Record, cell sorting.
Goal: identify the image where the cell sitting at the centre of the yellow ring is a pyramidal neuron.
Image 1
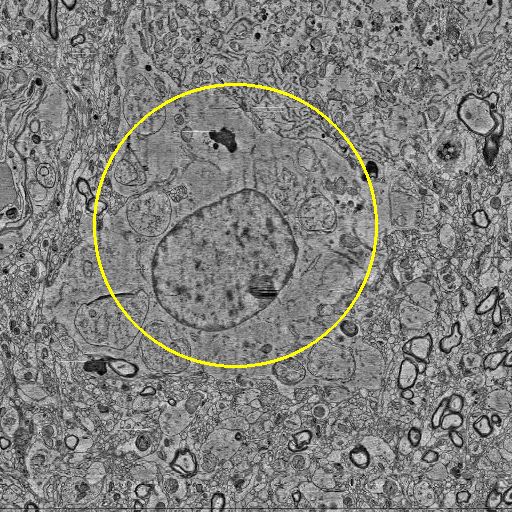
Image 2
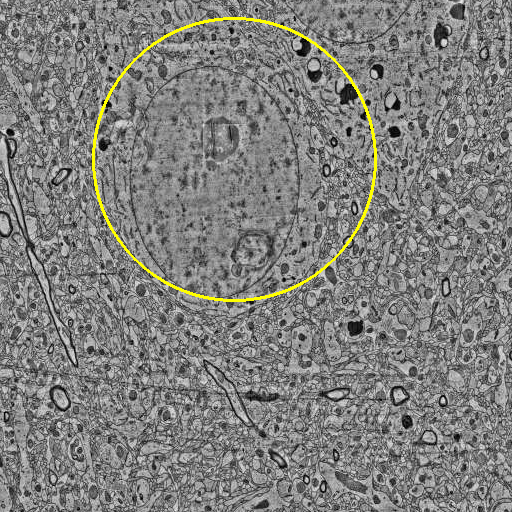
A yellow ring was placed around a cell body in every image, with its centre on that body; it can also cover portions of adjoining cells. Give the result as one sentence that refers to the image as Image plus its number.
Image 2 shows the requested cell sitting right at the centre of its ring.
